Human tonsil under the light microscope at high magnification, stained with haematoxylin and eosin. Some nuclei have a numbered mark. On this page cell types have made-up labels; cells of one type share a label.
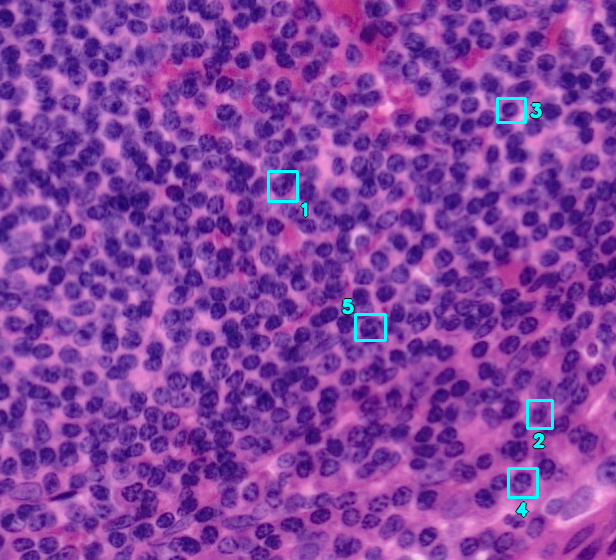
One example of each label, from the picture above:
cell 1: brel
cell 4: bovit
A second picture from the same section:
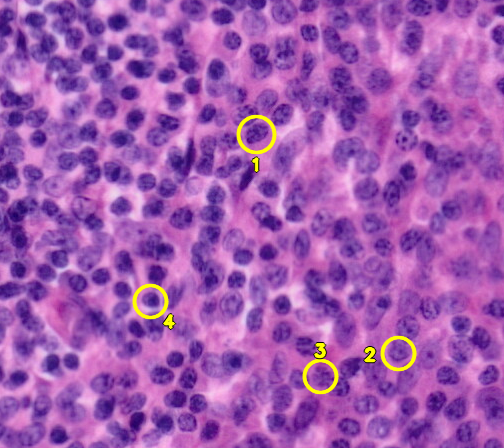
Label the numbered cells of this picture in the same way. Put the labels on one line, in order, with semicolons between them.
bovit; bovit; bovit; brel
